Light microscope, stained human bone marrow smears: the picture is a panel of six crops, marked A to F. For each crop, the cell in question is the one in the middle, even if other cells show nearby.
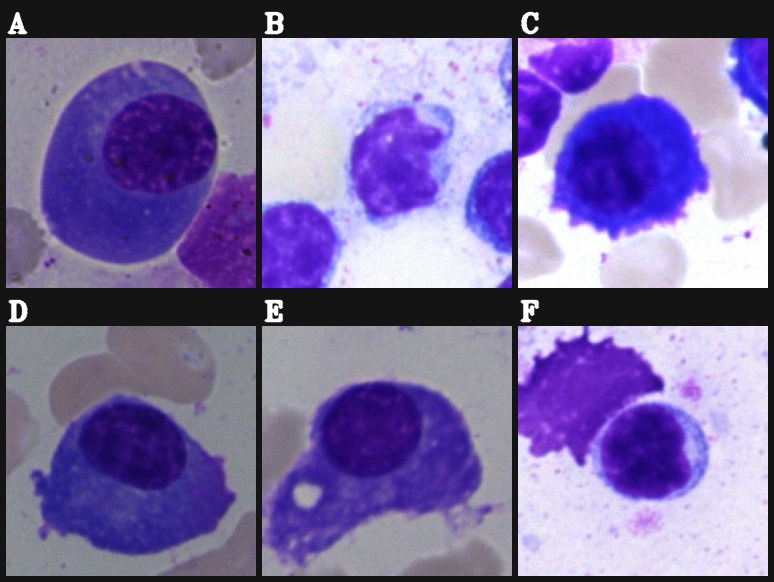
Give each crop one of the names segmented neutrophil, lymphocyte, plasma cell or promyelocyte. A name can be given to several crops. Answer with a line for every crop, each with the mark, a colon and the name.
A: plasma cell
B: lymphocyte
C: plasma cell
D: plasma cell
E: plasma cell
F: lymphocyte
